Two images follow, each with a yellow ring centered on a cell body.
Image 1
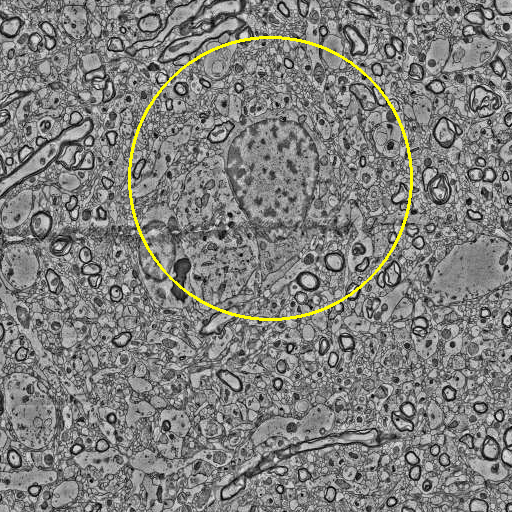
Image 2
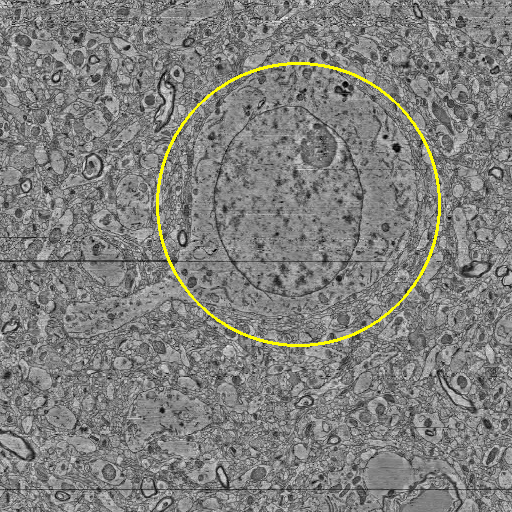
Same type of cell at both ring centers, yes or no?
no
